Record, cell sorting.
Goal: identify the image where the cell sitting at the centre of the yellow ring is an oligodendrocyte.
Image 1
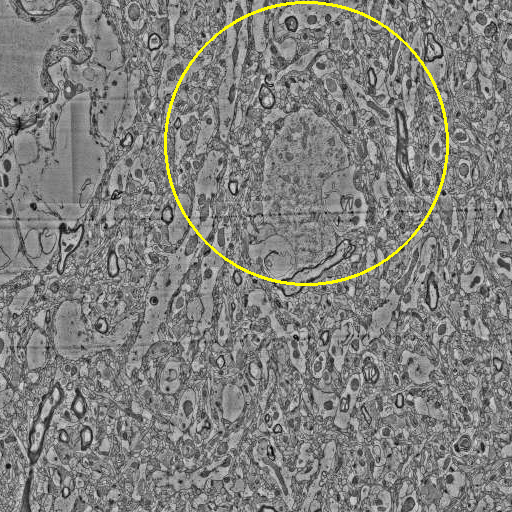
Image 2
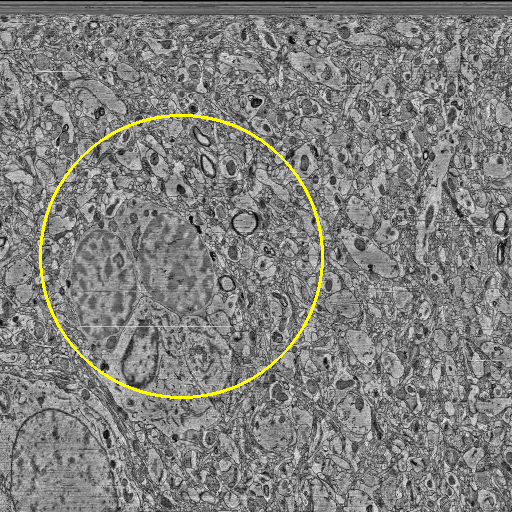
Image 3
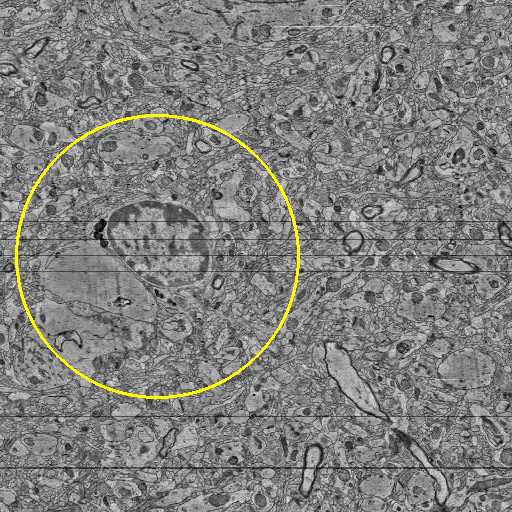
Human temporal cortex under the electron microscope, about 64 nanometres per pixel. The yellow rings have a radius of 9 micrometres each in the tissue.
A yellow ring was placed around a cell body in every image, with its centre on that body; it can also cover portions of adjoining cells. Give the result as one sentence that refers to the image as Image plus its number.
Image 2 shows the requested cell sitting right at the centre of its ring.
